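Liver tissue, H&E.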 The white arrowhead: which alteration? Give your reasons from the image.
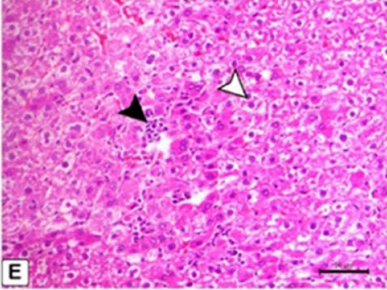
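Intense hydropic vacuolation. Hepatocytes are swollen with pale, cleared cytoplasm. Cord pattern is largely lost.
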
